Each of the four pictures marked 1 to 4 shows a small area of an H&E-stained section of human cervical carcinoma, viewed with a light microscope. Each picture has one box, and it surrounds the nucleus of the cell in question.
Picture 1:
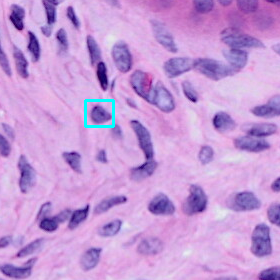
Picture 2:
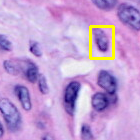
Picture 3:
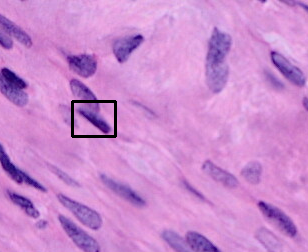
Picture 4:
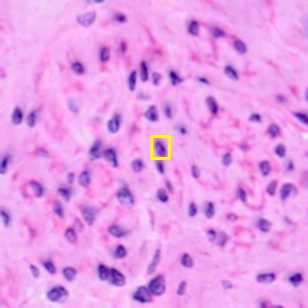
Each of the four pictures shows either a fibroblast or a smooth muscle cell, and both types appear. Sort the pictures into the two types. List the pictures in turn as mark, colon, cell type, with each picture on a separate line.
1: fibroblast
2: smooth muscle cell
3: fibroblast
4: smooth muscle cell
